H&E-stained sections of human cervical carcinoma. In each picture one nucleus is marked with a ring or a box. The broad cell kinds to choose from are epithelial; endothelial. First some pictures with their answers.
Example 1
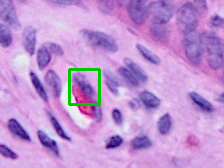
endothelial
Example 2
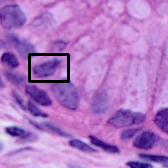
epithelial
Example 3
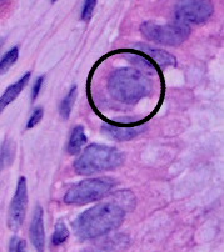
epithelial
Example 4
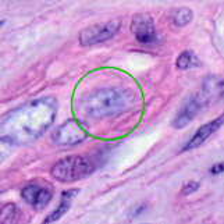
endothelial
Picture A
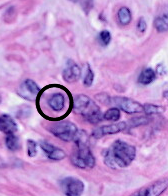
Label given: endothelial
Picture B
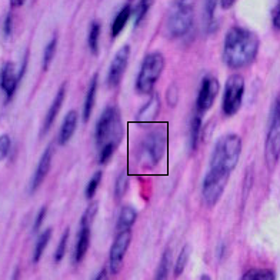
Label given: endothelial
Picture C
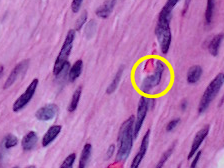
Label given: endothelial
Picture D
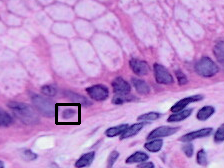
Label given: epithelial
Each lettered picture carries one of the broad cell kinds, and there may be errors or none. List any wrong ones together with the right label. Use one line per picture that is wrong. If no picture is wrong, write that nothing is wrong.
All correct.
